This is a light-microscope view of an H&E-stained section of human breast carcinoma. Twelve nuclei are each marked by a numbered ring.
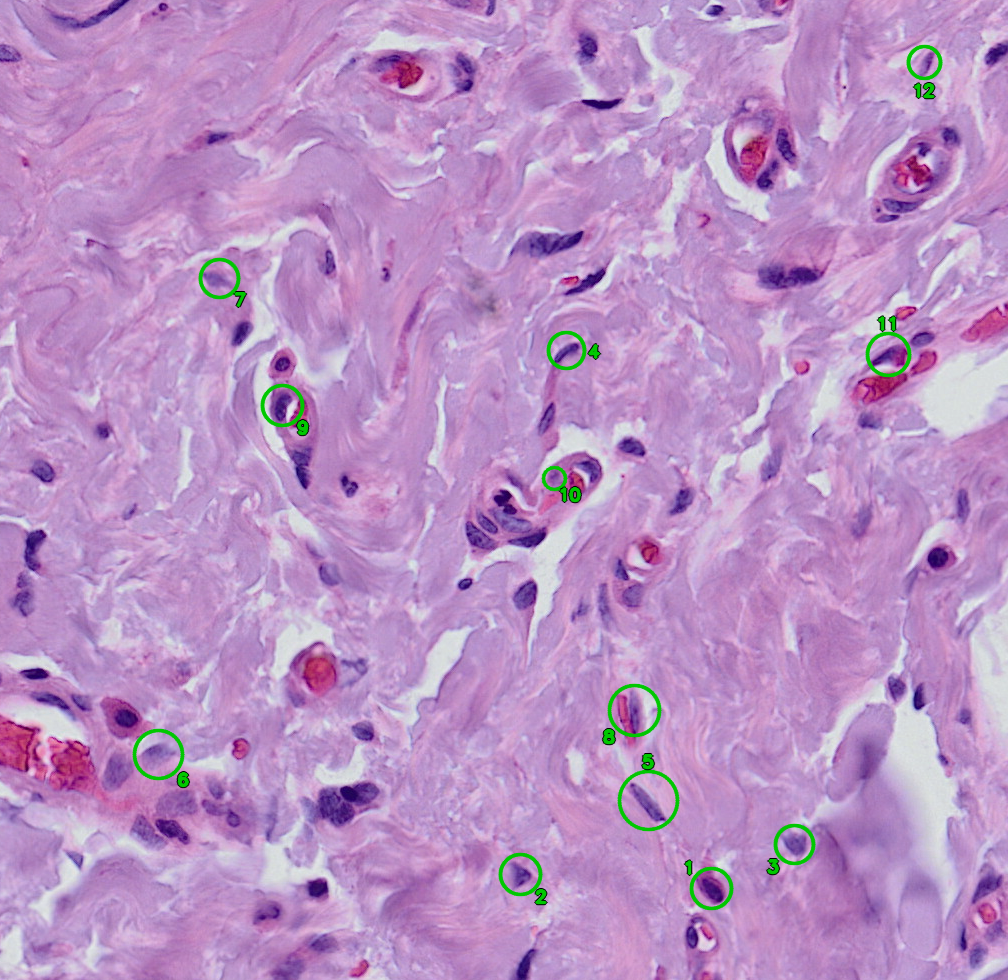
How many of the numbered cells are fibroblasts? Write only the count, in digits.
7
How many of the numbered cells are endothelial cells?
4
